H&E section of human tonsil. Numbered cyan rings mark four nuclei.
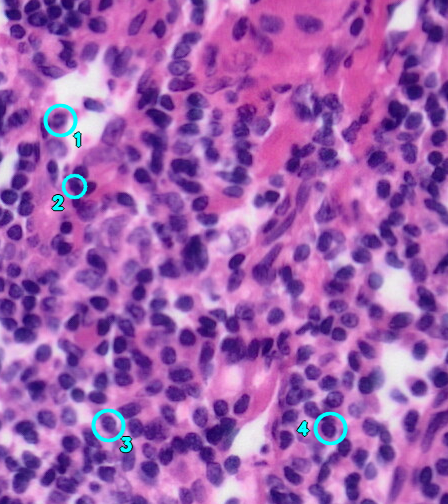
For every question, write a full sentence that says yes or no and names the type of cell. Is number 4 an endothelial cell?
No, cell 4 is a plasma cell, not an endothelial cell.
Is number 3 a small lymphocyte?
Yes, regarding number 3, the cell is a small lymphocyte.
